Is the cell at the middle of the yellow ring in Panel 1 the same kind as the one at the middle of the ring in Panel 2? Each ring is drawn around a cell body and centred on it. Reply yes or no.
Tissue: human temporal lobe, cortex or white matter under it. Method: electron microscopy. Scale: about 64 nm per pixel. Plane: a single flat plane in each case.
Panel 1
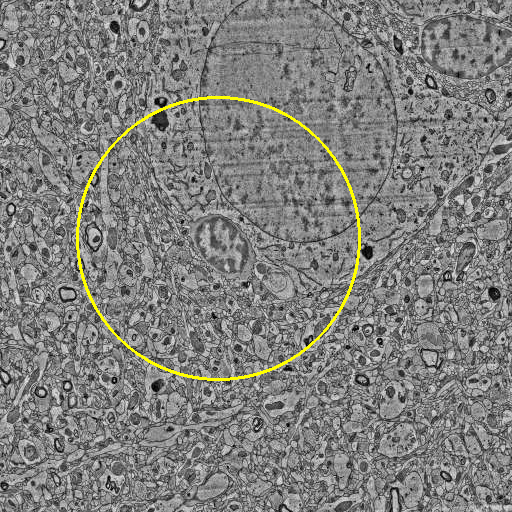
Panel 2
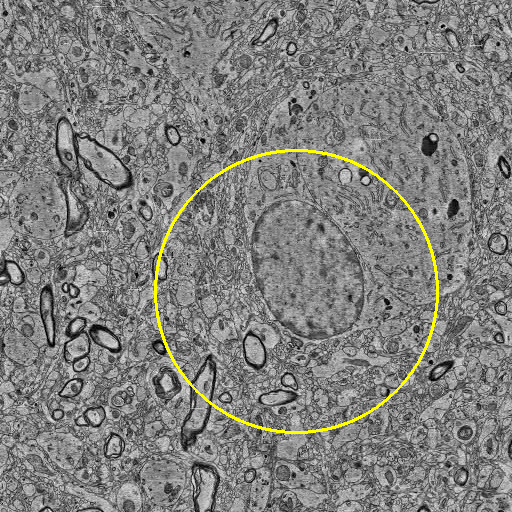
no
